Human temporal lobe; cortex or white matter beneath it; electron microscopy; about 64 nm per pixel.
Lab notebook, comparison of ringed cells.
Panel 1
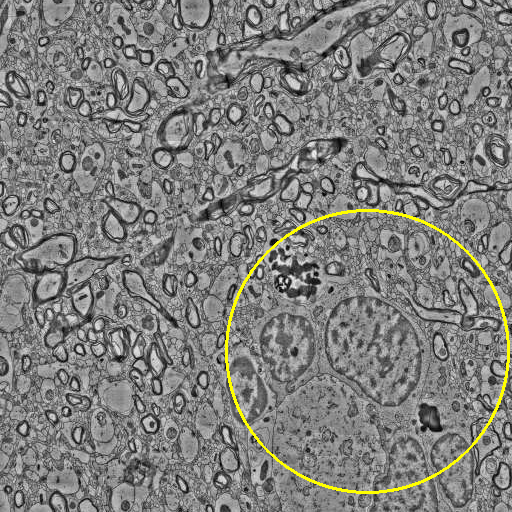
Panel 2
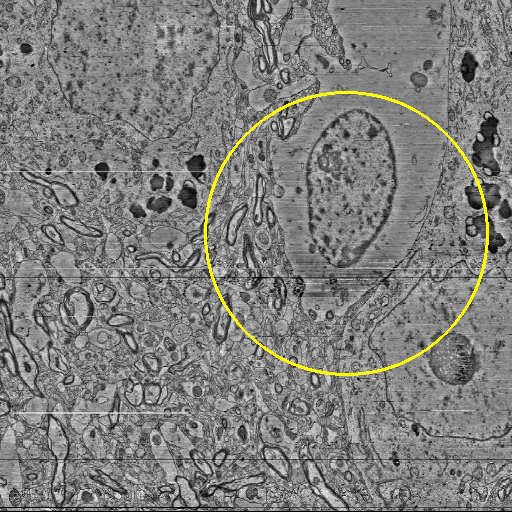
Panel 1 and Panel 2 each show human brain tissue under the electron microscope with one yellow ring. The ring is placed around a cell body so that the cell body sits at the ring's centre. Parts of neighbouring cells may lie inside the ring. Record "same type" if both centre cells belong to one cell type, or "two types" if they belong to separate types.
two types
